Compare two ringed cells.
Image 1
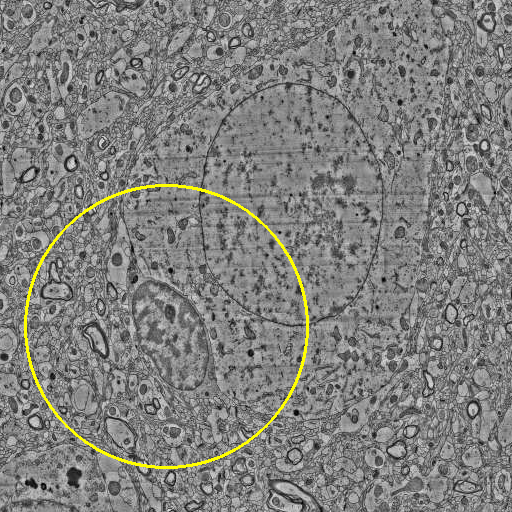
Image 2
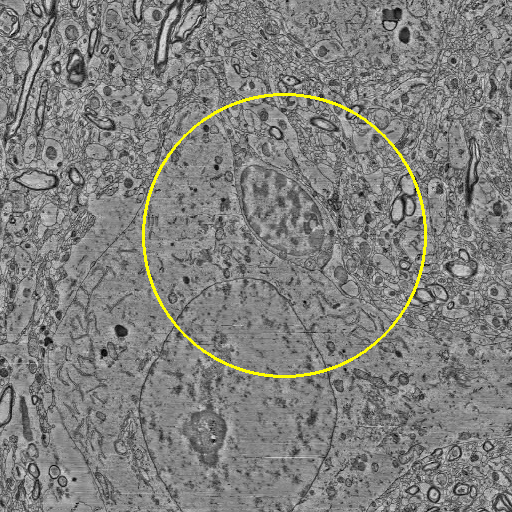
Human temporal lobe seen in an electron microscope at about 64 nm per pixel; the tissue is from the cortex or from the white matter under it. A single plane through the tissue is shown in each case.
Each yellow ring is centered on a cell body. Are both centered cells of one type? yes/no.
yes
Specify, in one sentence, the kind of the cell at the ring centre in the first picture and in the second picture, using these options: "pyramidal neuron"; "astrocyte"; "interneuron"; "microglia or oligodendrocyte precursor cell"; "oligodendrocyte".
In each picture the ringed cell is an oligodendrocyte.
